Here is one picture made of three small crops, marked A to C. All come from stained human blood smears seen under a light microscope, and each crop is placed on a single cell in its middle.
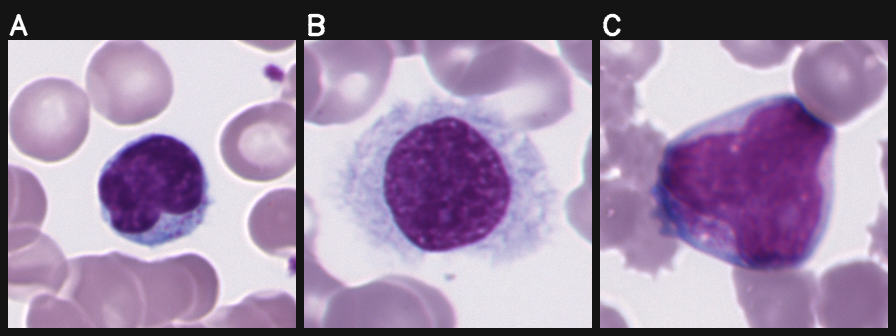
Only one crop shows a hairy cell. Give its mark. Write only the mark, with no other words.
B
